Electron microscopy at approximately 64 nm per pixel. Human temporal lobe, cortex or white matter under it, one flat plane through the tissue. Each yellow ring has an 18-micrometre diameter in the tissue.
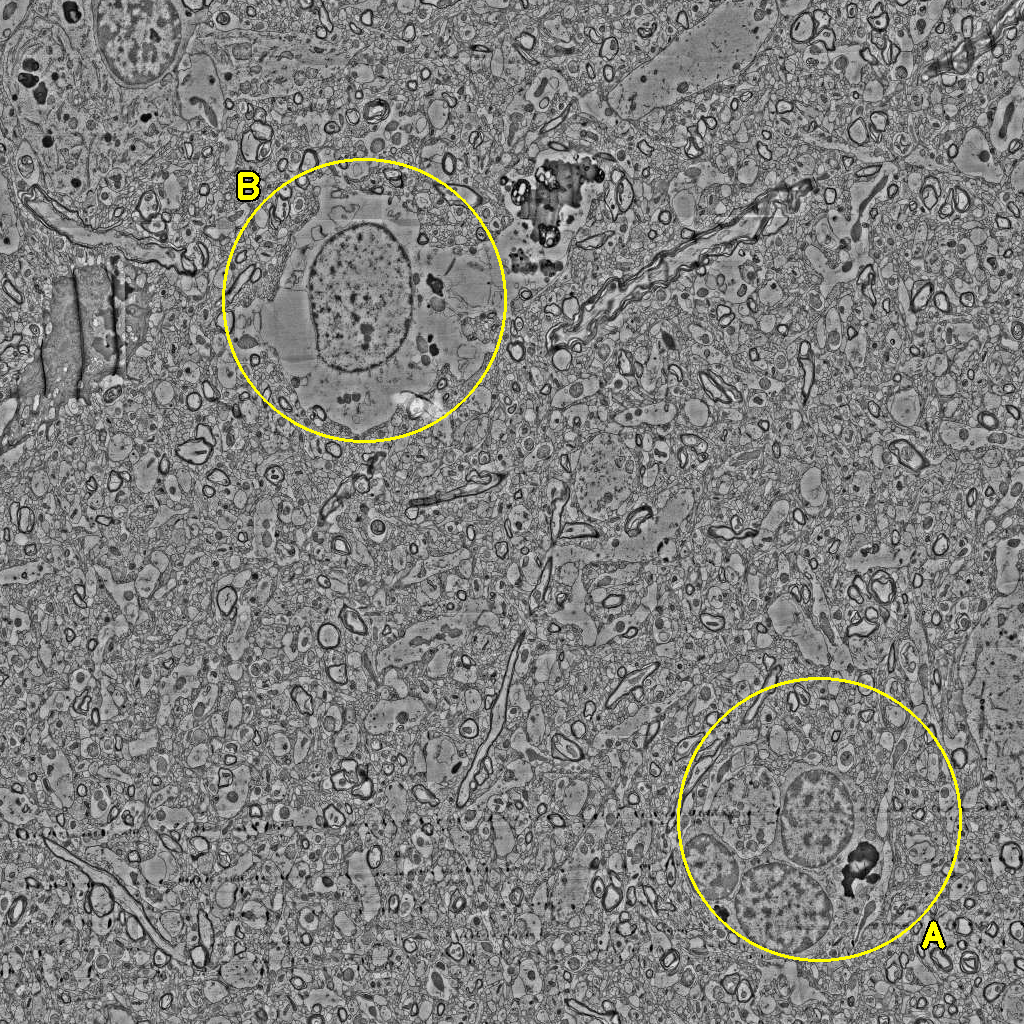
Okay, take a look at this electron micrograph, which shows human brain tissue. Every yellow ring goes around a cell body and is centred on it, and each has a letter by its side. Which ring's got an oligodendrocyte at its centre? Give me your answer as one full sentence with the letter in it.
The one you're after is ring A, centred on the cell you asked about.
